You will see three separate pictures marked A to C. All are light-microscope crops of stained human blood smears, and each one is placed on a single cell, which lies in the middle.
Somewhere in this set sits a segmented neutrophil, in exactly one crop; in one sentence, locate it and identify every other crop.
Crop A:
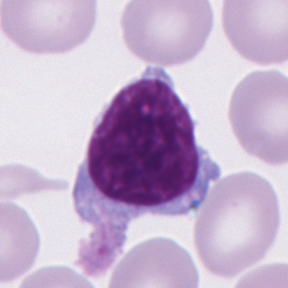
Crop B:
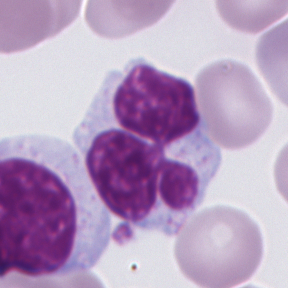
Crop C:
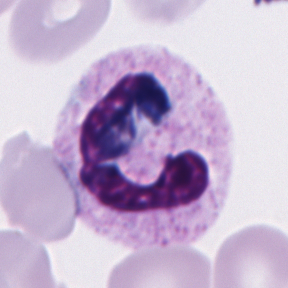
Crop C comes out as a segmented neutrophil, while crop A is a typical lymphocyte and crop B is a large granular lymphocyte.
